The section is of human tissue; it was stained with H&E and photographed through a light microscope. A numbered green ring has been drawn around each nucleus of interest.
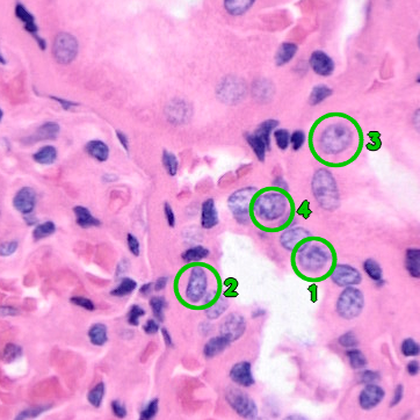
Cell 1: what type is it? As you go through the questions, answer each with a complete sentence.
The identity of cell 1 is that of a collecting duct cell.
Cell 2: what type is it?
Cell number 2 in this section is a collecting duct cell.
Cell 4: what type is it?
The correct label for cell 4 is a collecting duct cell.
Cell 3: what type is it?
The cell identified by the number 3 is a proximal tubule cell.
